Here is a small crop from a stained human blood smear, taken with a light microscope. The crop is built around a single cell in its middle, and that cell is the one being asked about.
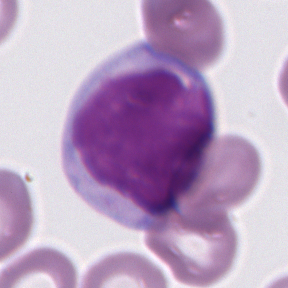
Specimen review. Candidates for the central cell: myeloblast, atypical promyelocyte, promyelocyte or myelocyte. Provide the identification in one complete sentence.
Occupying the centre of the crop is a myeloblast.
